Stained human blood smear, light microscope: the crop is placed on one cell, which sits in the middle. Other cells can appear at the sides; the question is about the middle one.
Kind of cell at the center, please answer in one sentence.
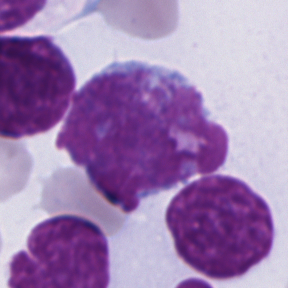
The middle of this crop is occupied by a myeloblast.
